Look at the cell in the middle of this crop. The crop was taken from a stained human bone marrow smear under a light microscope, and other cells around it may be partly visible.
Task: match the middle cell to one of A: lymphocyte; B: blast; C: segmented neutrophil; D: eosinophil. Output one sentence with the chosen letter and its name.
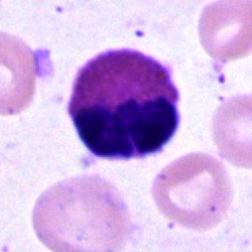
The cell at the centre, correctly named in option D, is an eosinophil.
